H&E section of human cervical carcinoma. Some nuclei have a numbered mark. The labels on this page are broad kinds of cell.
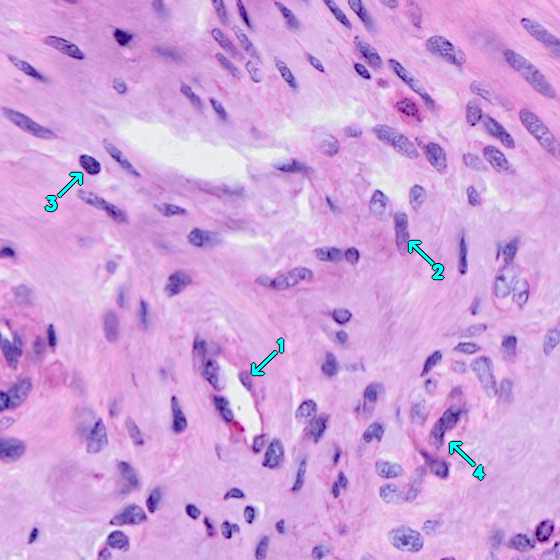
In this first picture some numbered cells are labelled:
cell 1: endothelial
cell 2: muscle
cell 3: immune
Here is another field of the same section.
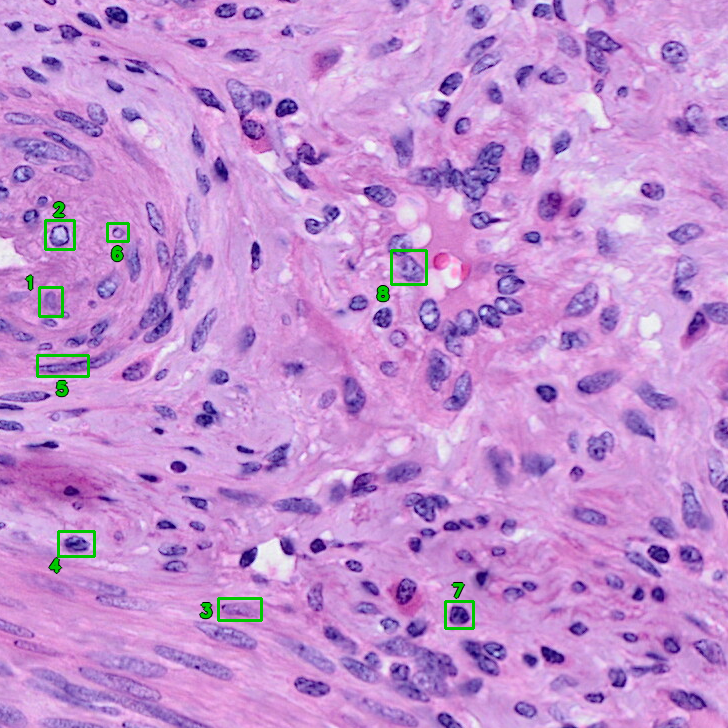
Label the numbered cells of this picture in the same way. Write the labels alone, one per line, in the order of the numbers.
muscle
muscle
muscle
immune
muscle
muscle
immune
endothelial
